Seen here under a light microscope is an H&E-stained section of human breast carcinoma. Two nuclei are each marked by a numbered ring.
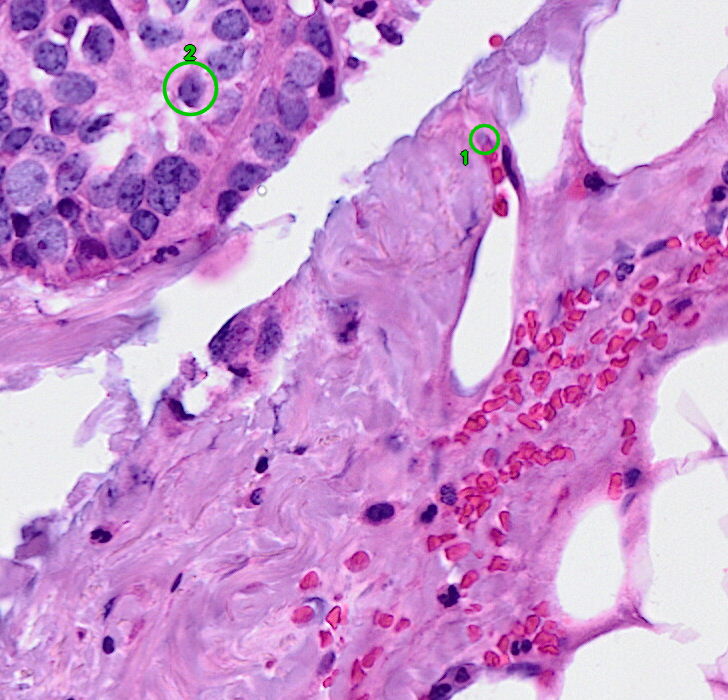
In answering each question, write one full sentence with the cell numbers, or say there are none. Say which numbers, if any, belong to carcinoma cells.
Among the cells marked with numbers, the only one that is a carcinoma cell is number 2.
